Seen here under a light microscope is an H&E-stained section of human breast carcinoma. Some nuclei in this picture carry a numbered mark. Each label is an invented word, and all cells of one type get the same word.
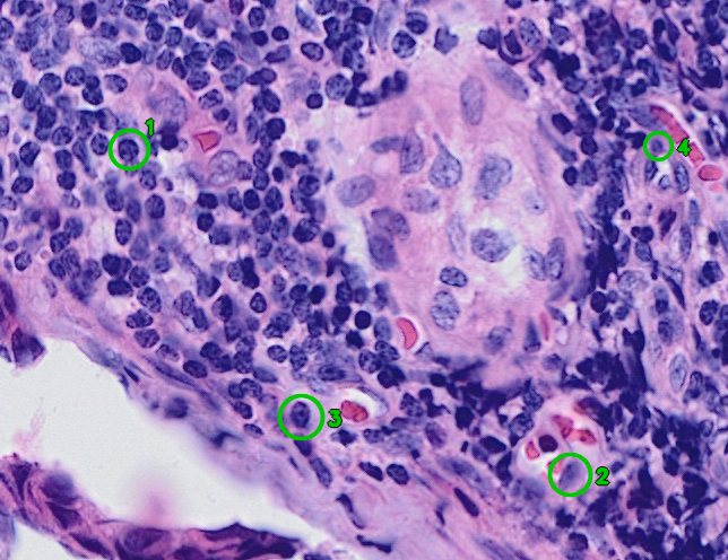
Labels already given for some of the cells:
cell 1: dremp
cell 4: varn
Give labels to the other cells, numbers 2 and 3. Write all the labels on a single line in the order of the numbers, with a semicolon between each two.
varn; dremp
